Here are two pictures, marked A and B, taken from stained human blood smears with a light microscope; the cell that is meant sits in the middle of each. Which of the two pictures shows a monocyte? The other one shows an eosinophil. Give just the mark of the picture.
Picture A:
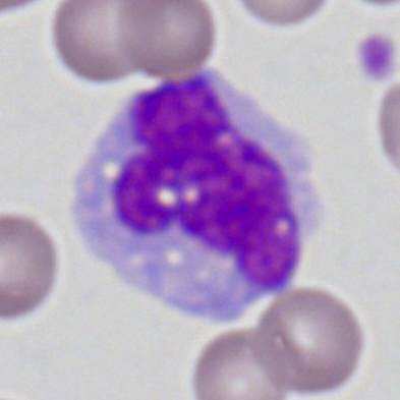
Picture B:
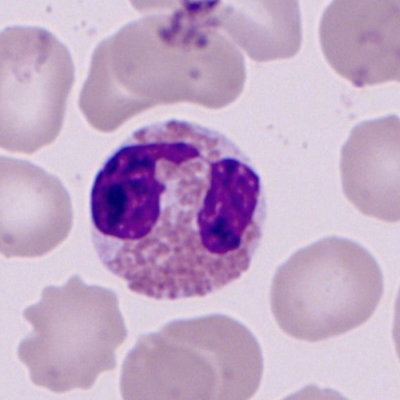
A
